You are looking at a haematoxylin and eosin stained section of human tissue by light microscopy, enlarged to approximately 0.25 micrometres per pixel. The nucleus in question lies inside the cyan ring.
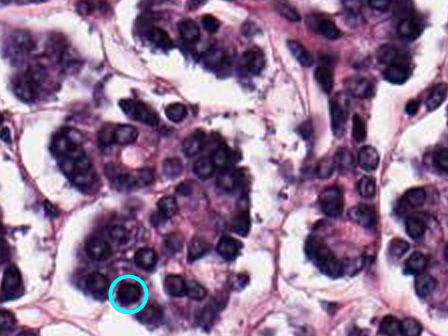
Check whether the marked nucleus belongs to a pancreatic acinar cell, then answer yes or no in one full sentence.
Yes, in this section the marked nucleus belongs to a pancreatic acinar cell.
